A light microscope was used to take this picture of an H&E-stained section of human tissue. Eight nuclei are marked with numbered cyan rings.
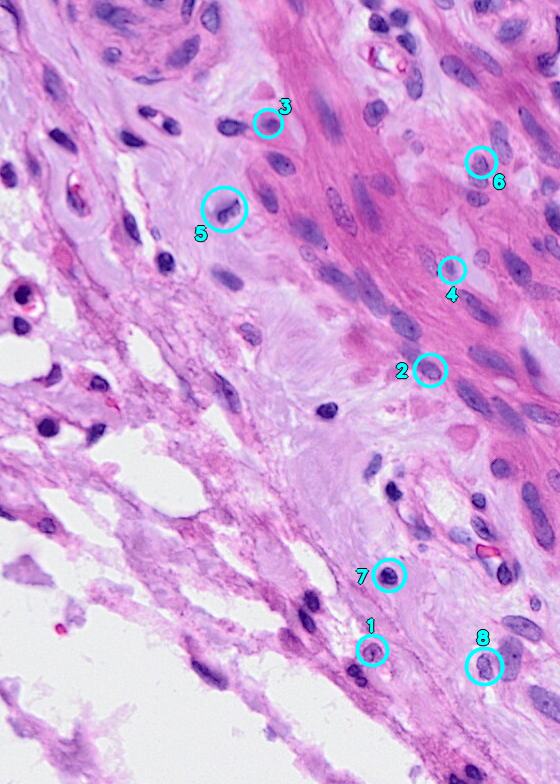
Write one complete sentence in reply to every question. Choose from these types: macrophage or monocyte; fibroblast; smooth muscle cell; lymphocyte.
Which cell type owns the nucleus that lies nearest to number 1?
The nearest nucleus to number 1 belongs to a macrophage or monocyte.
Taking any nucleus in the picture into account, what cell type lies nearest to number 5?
The cell nearest to number 5 is a smooth muscle cell.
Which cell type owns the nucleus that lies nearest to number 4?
Number 4 lies closest to the nucleus of a smooth muscle cell.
